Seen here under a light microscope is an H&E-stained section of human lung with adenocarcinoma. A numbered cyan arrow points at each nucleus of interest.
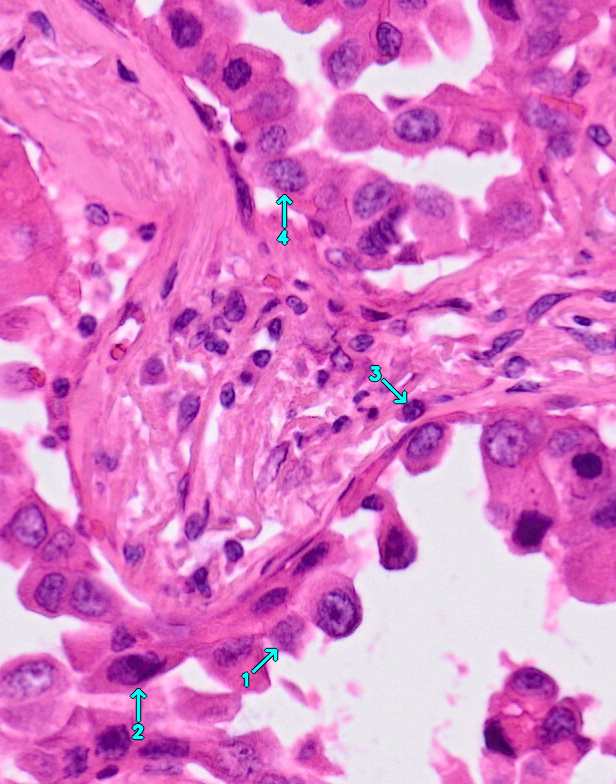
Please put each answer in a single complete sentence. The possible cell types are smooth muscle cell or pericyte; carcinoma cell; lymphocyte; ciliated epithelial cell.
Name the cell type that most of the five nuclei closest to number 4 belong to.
Carcinoma cells make up most of the five nuclei closest to number 4.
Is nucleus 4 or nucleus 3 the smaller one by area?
With nucleus 4 about 3 times its size, nucleus 3 is the smaller of the two.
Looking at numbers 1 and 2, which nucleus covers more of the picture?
Nucleus 2 covers more area, about 2 times as much as nucleus 1.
